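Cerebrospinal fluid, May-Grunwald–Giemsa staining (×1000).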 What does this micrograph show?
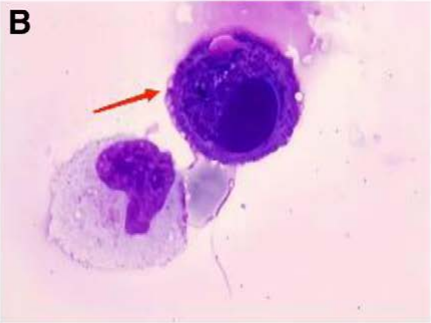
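The marked cell has plenty of cytoplasm that is deep blue toward the centre and turns pinker toward the rim. Its round nucleus lies off to one side, with finely textured chromatin and no obvious nucleolus. Small knobs of cytoplasm bud from its surface. At lower left, the monocyte is a larger pale cell with grey-blue cytoplasm and a folded purple nucleus, and the small grey oval between them is a red blood cell.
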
